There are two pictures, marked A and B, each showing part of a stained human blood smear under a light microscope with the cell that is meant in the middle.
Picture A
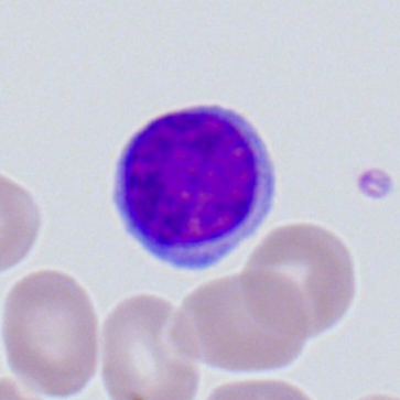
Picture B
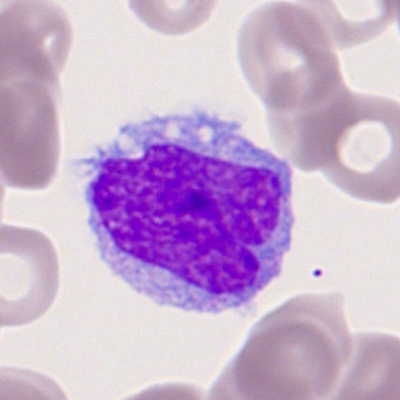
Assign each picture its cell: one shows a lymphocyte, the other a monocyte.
A: lymphocyte
B: monocyte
